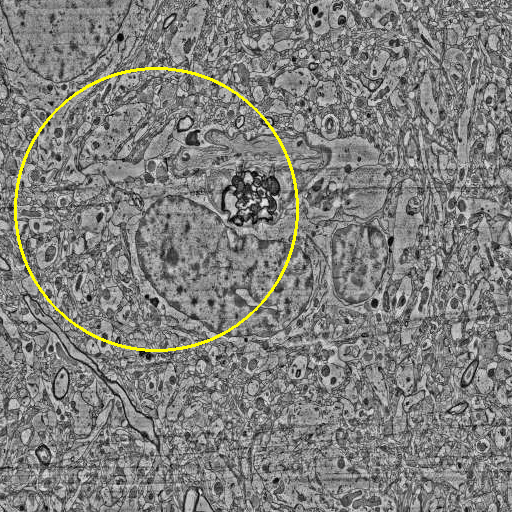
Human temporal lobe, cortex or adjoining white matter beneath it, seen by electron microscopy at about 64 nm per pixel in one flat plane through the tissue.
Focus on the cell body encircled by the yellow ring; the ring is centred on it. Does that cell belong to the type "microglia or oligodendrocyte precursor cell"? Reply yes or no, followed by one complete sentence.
Yes, that type fits the cell lying at the centre of the ring in the picture.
